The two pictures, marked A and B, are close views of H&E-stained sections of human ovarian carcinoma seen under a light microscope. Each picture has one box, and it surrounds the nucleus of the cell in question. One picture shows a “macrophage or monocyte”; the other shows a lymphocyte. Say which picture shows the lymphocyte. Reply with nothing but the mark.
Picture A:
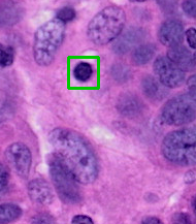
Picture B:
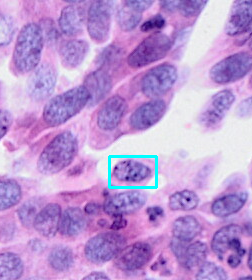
A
